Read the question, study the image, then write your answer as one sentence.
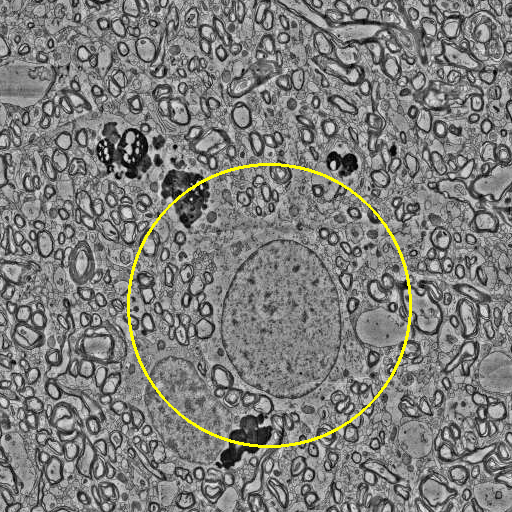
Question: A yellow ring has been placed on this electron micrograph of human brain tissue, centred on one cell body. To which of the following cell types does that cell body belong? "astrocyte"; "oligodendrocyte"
That cell body belongs to an astrocyte.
